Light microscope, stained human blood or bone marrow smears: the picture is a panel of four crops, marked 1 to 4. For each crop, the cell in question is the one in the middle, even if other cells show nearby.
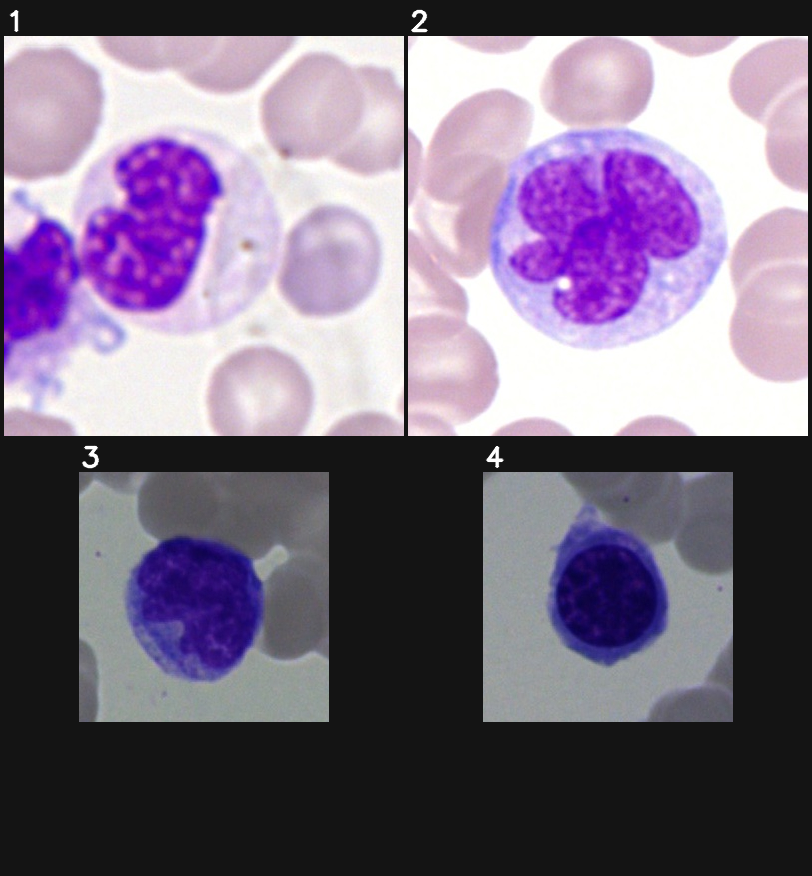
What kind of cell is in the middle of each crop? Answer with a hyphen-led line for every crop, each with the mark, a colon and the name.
- 1: band neutrophil
- 2: monocyte
- 3: monocyte
- 4: erythroblast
